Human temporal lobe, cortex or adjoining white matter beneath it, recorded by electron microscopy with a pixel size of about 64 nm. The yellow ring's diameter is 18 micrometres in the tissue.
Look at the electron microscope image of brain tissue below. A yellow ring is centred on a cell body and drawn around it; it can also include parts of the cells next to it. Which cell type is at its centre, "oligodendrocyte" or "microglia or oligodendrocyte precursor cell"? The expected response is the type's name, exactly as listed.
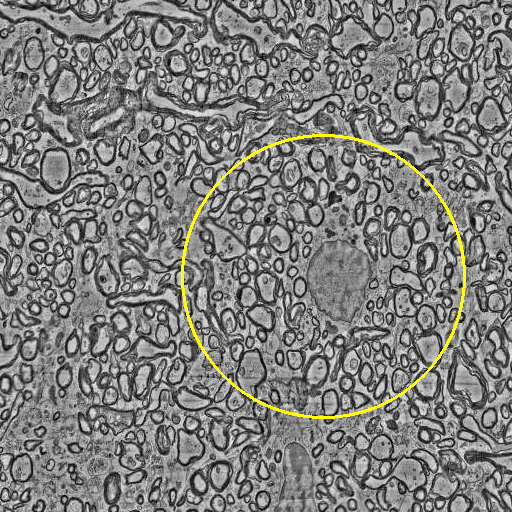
oligodendrocyte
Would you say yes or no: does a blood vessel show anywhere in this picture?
No, no blood vessel shows in the picture.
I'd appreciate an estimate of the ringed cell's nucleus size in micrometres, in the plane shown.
About 5 micrometres across, as seen in this plane.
